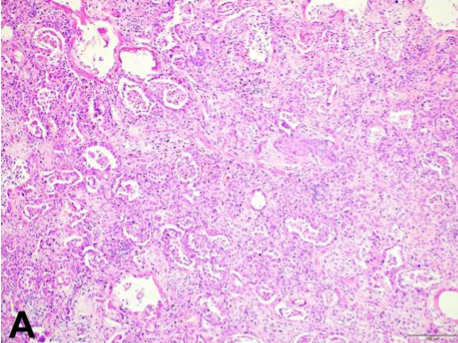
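At low power this lung shows its normal lacy network of thin alveolar walls replaced by a broad, cellular, pink-purple tissue. The interstitium is markedly widened by loose, pale tissue with many spindle-shaped cells. Scattered through it are small, irregular airspaces lined by plump cells, some containing pink plugs of loose tissue. A few larger rounded airspaces remain open near the top and edges. The pattern is that of lung in the reparative, organizing stage of injury.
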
